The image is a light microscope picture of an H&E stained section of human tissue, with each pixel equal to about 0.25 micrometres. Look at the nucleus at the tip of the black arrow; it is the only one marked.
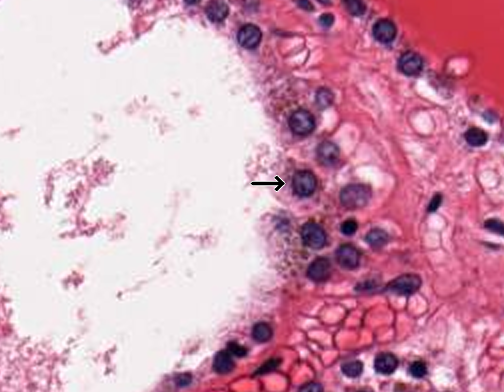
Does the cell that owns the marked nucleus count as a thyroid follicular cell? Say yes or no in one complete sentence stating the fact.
Yes, the cell to which the marked nucleus belongs is a thyroid follicular cell.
